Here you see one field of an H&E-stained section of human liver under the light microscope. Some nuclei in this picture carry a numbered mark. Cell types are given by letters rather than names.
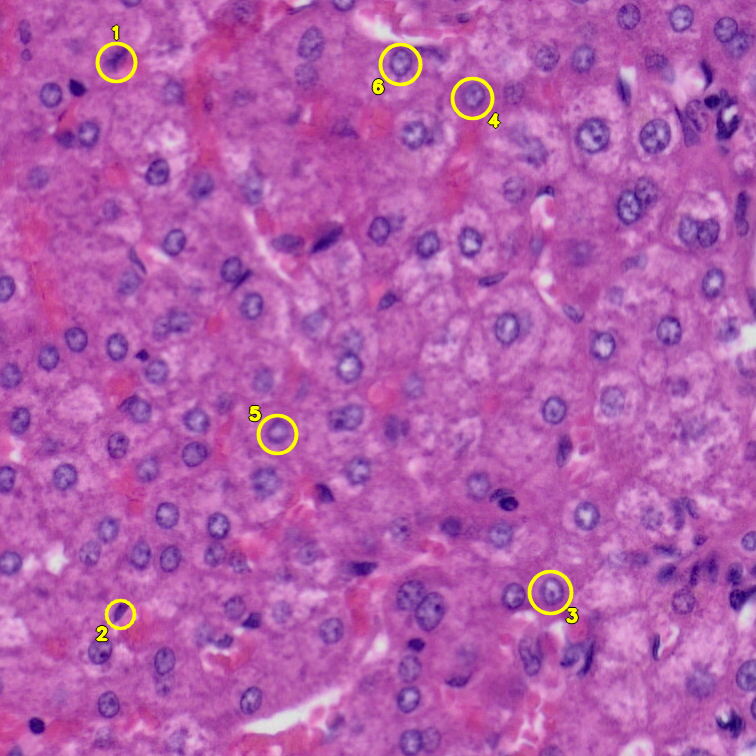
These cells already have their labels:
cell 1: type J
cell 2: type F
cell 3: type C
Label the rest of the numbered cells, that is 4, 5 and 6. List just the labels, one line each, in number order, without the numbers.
type C
type C
type C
